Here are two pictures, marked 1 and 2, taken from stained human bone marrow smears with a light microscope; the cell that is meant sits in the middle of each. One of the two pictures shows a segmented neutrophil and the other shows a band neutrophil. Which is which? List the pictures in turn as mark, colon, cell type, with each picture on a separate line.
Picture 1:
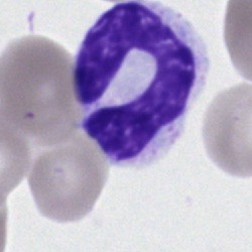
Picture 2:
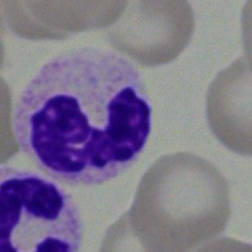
1: band neutrophil
2: segmented neutrophil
